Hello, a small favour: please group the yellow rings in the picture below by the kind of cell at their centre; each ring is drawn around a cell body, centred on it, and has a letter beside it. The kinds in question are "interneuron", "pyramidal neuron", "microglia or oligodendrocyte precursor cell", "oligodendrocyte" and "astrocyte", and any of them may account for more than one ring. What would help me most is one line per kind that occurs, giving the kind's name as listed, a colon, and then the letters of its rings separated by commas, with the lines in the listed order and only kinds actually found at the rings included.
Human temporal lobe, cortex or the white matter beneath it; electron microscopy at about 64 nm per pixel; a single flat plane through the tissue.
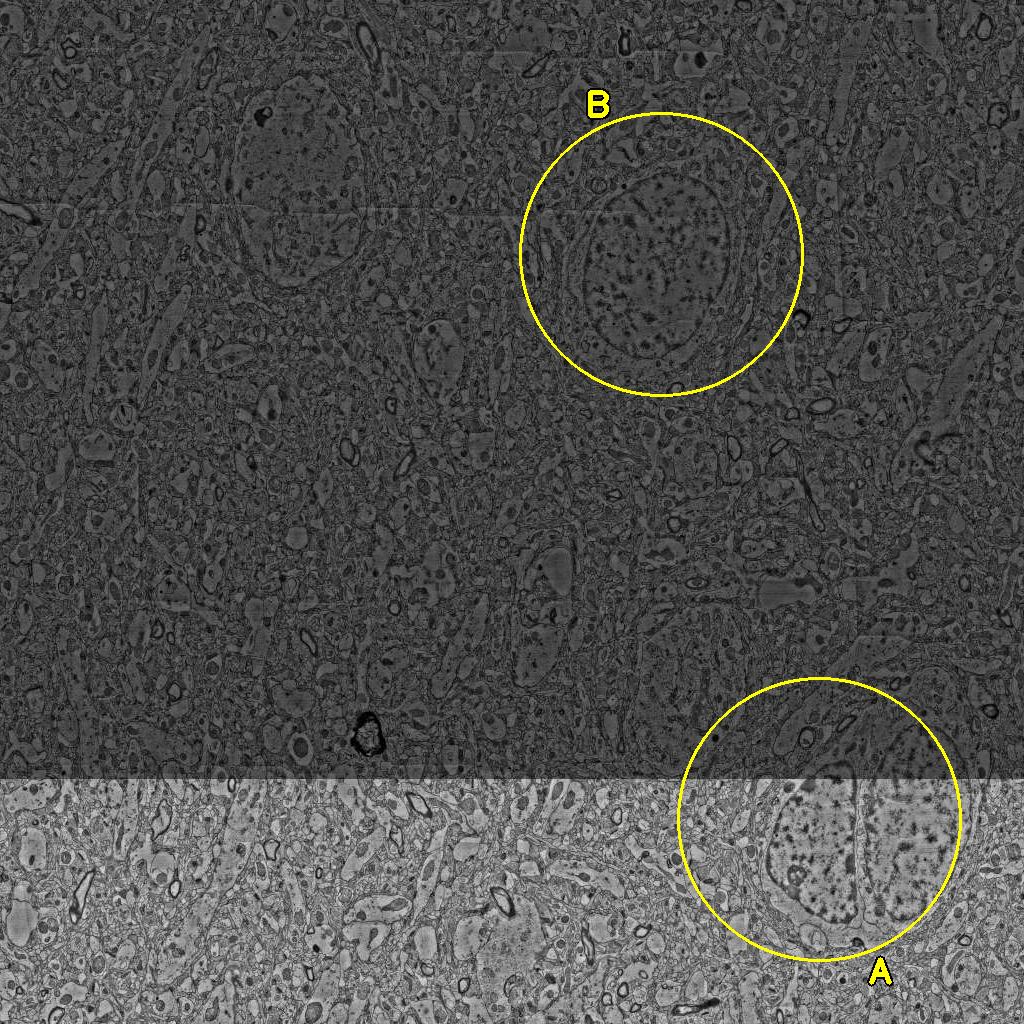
interneuron: B
microglia or oligodendrocyte precursor cell: A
